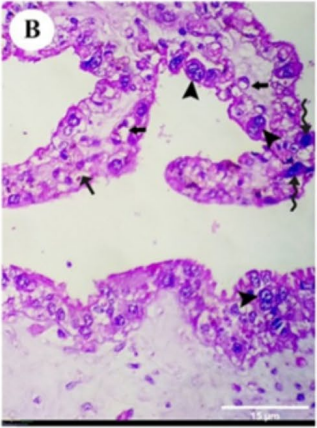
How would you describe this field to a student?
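Slender villous folds are lined by a thick layer of epithelial trophoblast cells with pink cytoplasm over a pale, loose core. Among the lining cells are large cells carrying two rounded nuclei with visible nucleoli, sitting side by side in abundant cytoplasm; these are binucleate cells. Many lining cells show clear, unstained spaces within their cytoplasm, giving a bubbly, vacuolated look rather than an even pink cytoplasm. Nuclei are dark purple and round. Together the picture is of placental villi whose trophoblast shows cytoplasmic vacuolization alongside scattered binucleate cells.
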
